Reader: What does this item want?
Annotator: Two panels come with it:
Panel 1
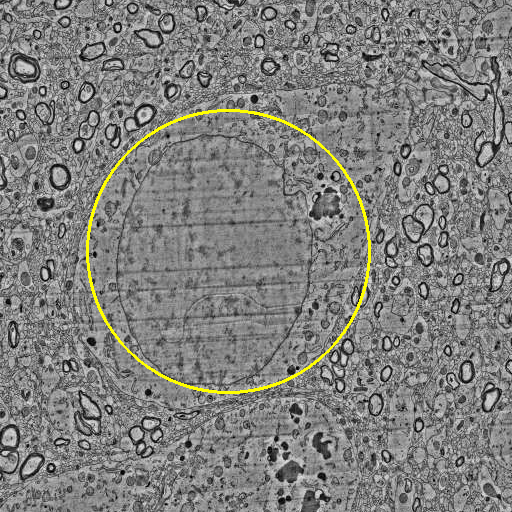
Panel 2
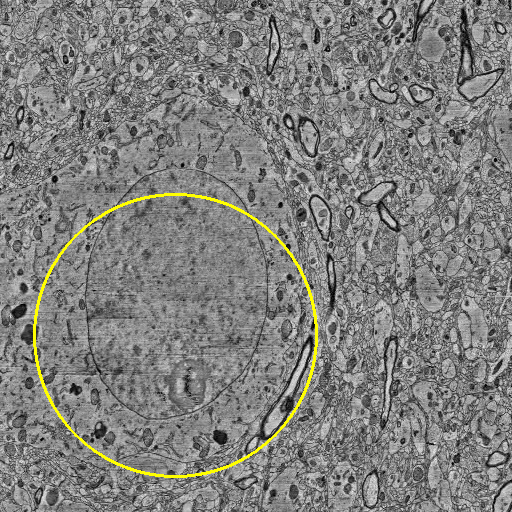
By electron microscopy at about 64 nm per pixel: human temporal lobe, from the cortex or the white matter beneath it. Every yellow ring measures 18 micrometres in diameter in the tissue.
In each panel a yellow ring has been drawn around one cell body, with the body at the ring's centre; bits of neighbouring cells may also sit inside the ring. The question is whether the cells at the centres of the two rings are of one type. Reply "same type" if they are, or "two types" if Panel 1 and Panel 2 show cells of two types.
same type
